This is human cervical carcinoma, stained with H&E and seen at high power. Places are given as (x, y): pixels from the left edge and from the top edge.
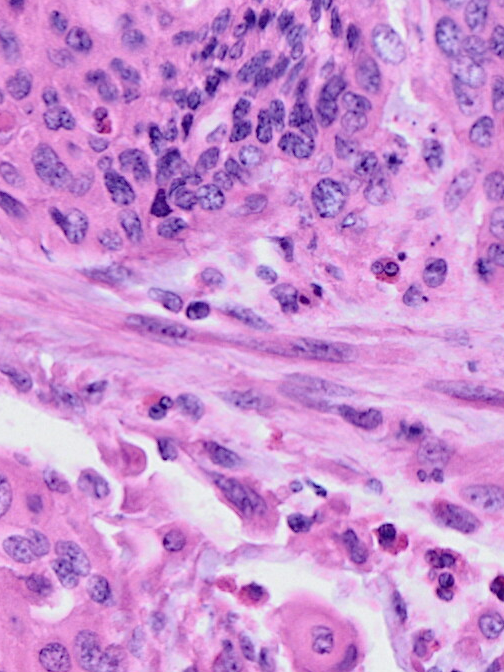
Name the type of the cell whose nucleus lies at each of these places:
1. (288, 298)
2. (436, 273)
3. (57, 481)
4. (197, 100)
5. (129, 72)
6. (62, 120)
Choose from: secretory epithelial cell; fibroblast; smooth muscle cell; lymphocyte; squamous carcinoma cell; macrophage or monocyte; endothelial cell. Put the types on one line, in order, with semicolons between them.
macrophage or monocyte; macrophage or monocyte; squamous carcinoma cell; squamous carcinoma cell; squamous carcinoma cell; squamous carcinoma cell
